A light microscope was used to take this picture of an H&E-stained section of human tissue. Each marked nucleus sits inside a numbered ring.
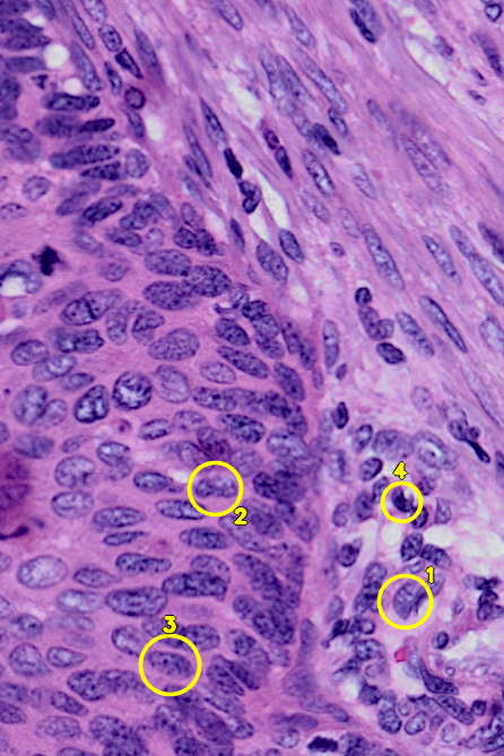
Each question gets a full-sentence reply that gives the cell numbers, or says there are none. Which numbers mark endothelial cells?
The cell marked by number 1 is an endothelial cell; the other marked cells are not.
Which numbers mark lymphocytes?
Only at number 4 is there a lymphocyte among the marked cells.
